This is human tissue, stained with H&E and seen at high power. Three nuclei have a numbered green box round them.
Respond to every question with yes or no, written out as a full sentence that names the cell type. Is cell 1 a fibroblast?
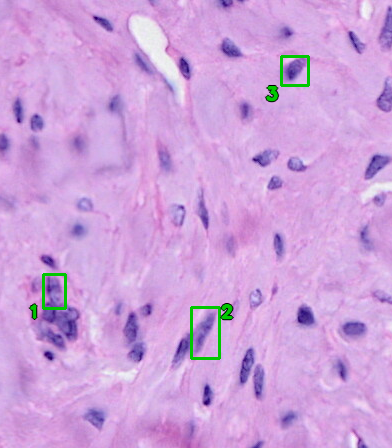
No, number 1 points to an endothelial cell and not to a fibroblast.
